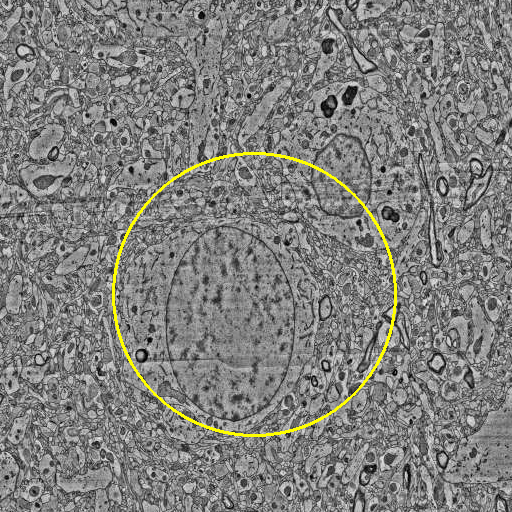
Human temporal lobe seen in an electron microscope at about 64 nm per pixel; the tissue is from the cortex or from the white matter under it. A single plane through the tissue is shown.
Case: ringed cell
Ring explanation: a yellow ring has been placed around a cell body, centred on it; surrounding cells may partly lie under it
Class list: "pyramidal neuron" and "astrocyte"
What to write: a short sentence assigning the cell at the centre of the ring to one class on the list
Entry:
The cell at the ring's centre is a pyramidal neuron.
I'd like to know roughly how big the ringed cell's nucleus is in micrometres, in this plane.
Approximately 12 x 9 micrometres in this plane.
